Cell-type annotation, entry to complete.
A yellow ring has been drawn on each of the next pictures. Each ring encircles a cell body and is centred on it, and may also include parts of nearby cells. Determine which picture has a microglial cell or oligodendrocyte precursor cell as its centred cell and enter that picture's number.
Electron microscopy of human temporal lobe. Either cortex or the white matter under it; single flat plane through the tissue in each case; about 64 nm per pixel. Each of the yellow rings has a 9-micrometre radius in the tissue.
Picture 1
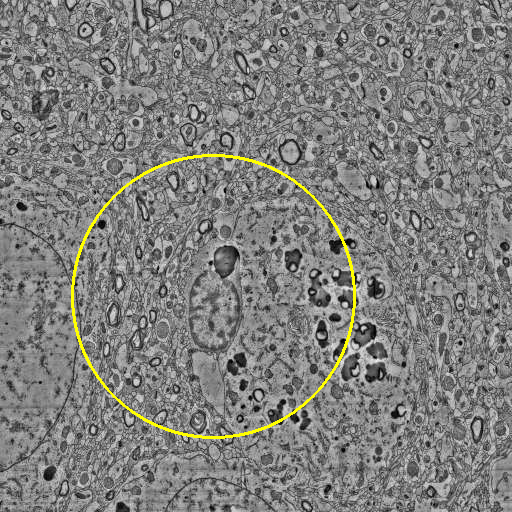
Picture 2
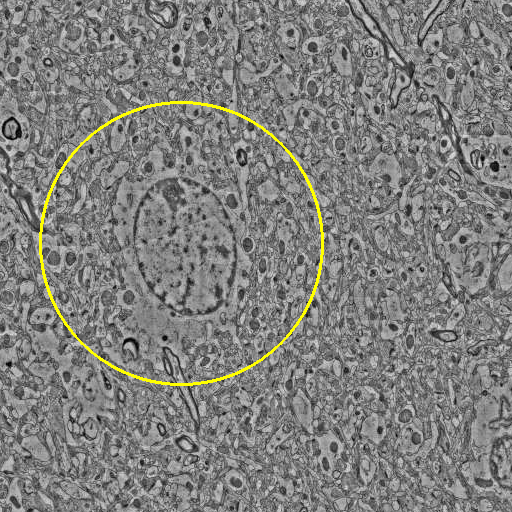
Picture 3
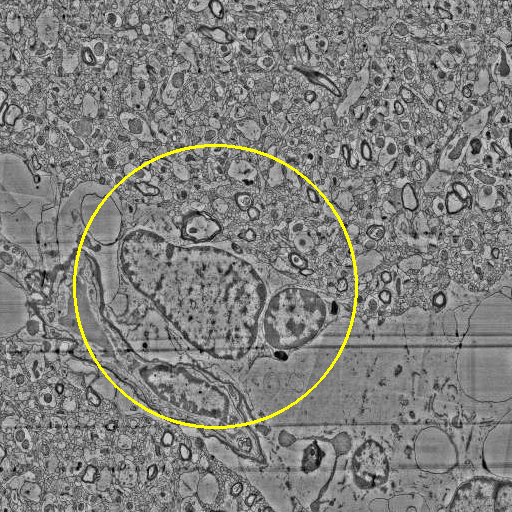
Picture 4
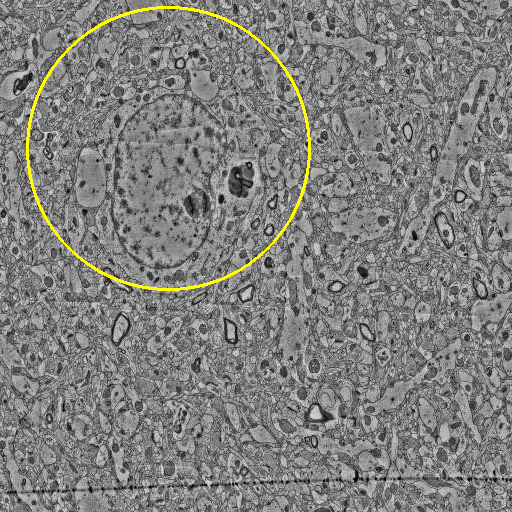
3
